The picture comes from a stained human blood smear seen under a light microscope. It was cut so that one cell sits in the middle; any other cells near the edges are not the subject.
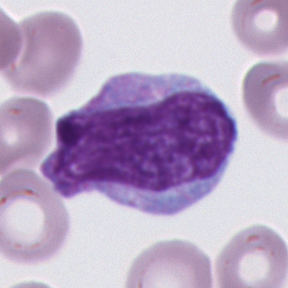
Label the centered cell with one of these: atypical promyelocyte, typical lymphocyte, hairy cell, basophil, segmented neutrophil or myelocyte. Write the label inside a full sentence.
In the middle of this smear crop is an atypical promyelocyte.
